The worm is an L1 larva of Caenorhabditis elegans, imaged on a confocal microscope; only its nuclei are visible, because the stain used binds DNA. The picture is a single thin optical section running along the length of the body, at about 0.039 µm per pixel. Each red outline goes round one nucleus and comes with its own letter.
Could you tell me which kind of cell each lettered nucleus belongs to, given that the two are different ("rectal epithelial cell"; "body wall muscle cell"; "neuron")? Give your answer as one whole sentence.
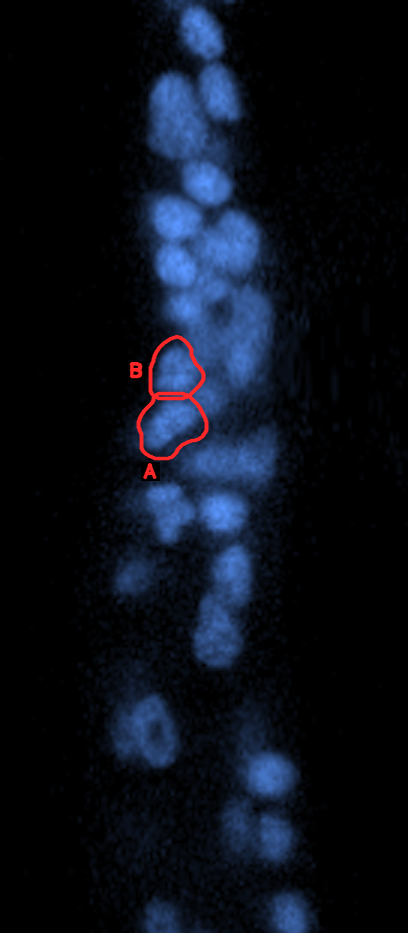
Nucleus A comes from a rectal epithelial cell and nucleus B from a body wall muscle cell.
